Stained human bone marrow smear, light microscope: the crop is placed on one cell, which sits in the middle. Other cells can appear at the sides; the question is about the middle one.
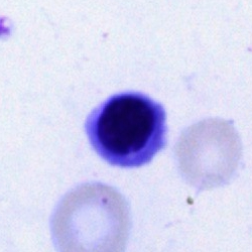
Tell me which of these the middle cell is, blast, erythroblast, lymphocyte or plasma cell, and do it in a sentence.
The cell shown in the center of this light-microscope crop is an erythroblast.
